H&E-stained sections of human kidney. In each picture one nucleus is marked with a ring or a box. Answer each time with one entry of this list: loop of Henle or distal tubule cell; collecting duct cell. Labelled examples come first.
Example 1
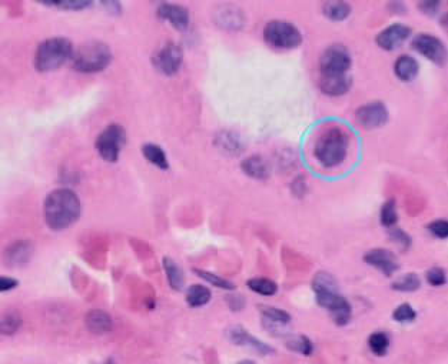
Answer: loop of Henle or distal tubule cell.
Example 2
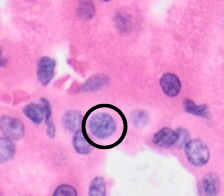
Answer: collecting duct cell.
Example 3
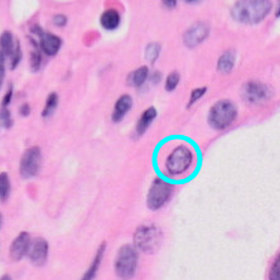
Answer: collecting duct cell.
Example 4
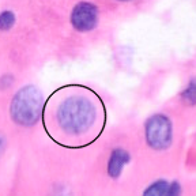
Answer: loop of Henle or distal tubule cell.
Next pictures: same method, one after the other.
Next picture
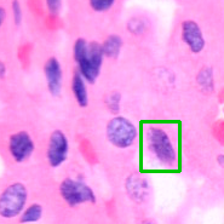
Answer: loop of Henle or distal tubule cell.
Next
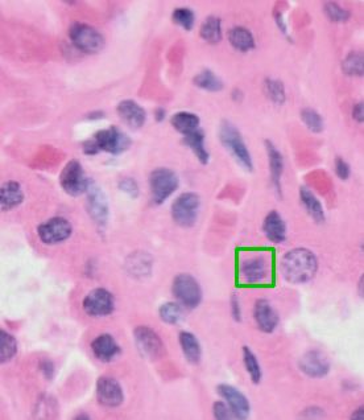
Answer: loop of Henle or distal tubule cell.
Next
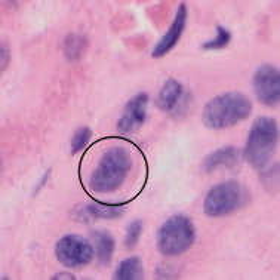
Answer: collecting duct cell.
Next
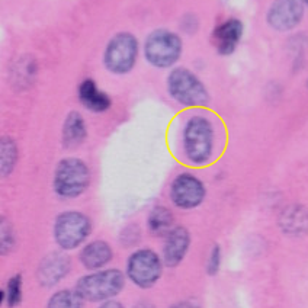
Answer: collecting duct cell.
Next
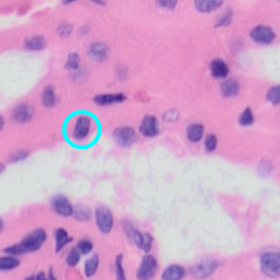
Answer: loop of Henle or distal tubule cell.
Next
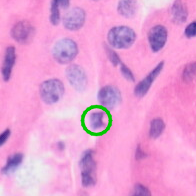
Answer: loop of Henle or distal tubule cell.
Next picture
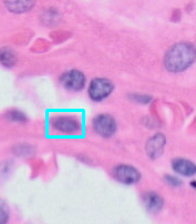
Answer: loop of Henle or distal tubule cell.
